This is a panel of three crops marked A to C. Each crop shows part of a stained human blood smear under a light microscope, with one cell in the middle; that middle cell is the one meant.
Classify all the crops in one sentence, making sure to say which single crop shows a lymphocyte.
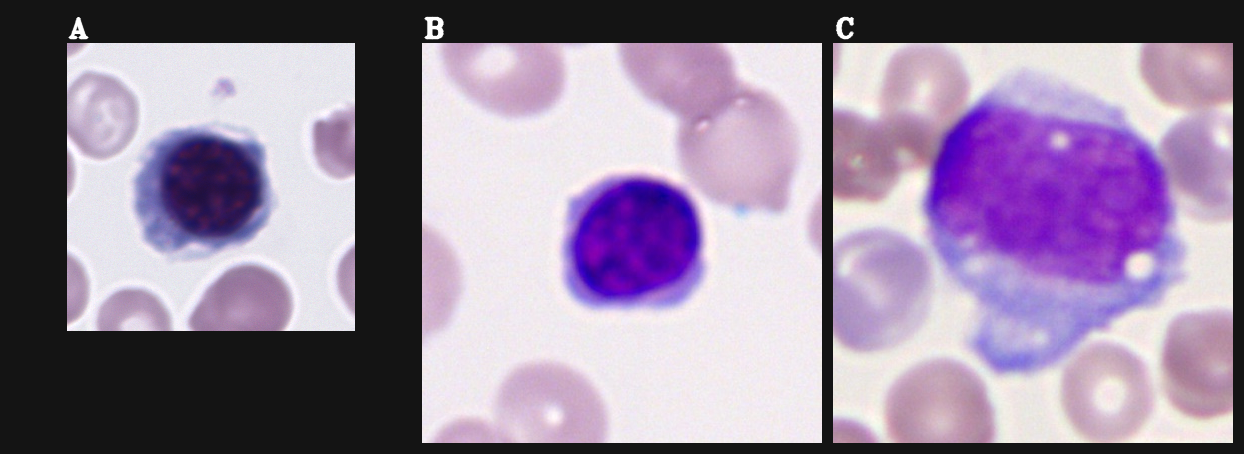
Summary: crop B shows a lymphocyte, while crop A is an erythroblast and crop C is a monocyte.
